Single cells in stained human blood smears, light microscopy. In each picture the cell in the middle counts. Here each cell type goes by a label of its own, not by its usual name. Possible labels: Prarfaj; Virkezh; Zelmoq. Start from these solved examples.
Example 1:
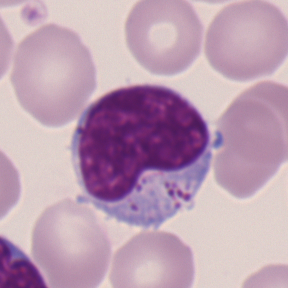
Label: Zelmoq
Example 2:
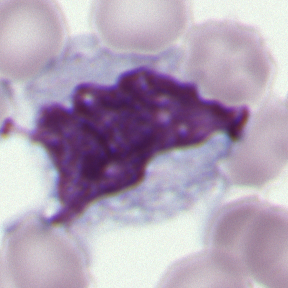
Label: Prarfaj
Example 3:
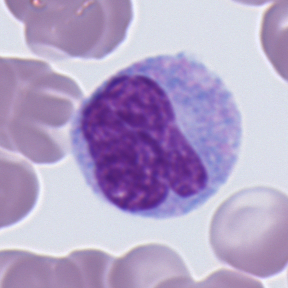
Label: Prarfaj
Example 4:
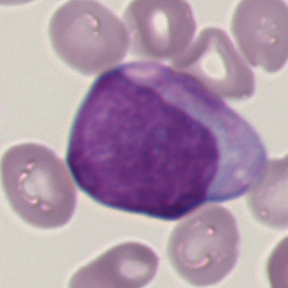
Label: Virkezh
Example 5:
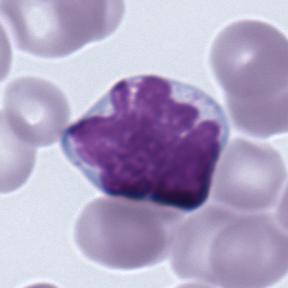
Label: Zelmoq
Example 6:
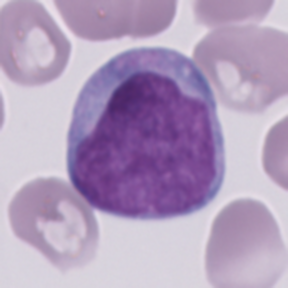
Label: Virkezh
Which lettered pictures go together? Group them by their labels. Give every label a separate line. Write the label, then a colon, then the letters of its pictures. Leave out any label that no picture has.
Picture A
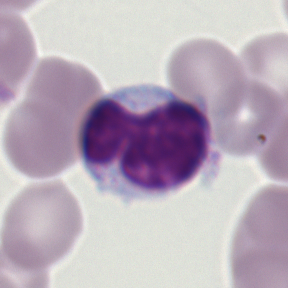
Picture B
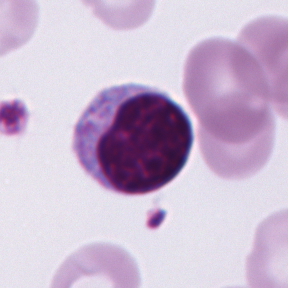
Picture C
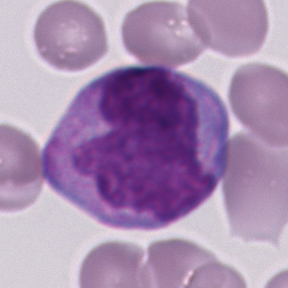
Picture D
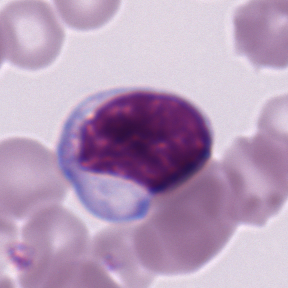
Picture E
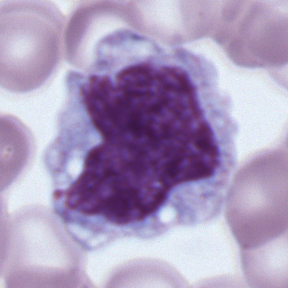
Prarfaj: E
Virkezh: C
Zelmoq: A, B, D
